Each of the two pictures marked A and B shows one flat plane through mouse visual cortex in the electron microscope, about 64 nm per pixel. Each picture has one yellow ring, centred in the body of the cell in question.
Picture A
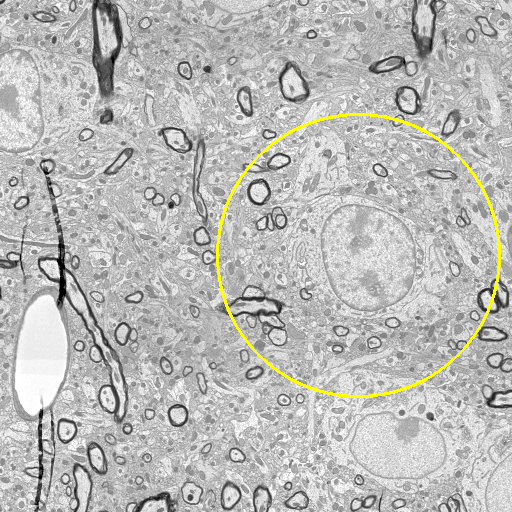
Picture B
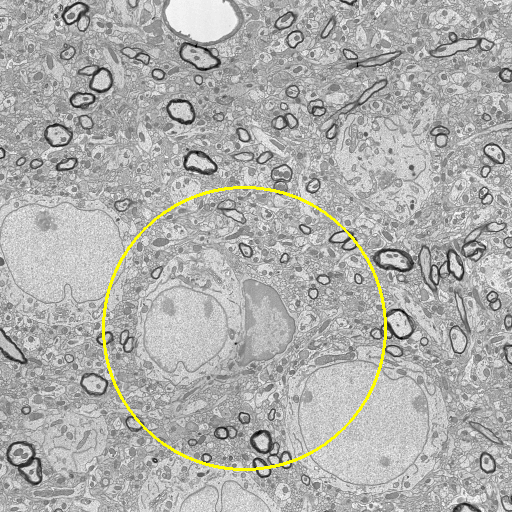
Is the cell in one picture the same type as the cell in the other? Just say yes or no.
no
